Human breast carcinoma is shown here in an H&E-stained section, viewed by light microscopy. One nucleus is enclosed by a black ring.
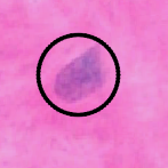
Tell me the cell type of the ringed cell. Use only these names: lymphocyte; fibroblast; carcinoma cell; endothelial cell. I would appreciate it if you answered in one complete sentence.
As a matter of cell type, the ringed cell is a fibroblast.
